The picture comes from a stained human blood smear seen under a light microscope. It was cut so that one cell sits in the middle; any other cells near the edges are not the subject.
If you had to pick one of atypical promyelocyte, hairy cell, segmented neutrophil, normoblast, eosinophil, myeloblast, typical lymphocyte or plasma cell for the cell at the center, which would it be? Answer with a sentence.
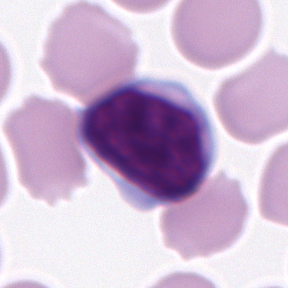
Regarding the central cell, it is a typical lymphocyte.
